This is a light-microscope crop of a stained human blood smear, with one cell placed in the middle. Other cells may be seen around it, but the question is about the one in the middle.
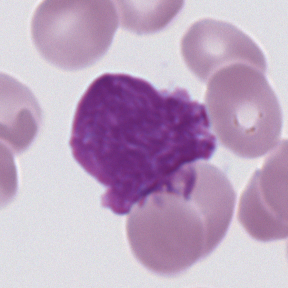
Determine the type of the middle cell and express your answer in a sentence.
The middle cell in this particular crop is a smudge cell.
